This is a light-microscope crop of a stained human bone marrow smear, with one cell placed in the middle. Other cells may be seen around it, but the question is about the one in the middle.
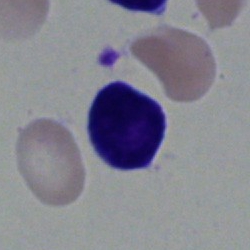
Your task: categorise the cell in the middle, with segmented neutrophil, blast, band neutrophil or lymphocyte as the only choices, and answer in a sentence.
The cell at the centre of the field is a lymphocyte.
